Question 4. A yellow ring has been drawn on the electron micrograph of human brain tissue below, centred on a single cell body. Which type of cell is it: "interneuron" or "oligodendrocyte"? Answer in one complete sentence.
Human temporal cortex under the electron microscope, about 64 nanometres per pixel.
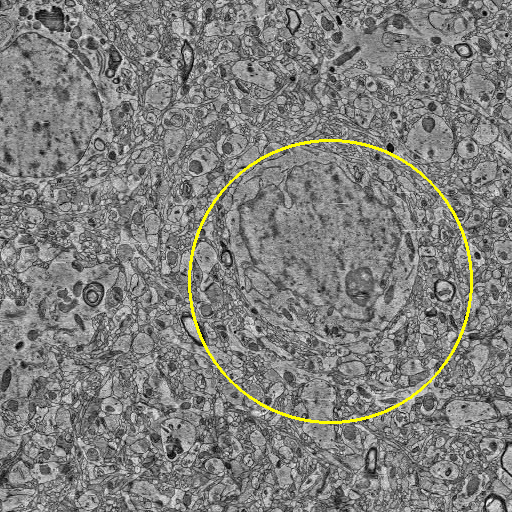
This cell body belongs to an interneuron.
